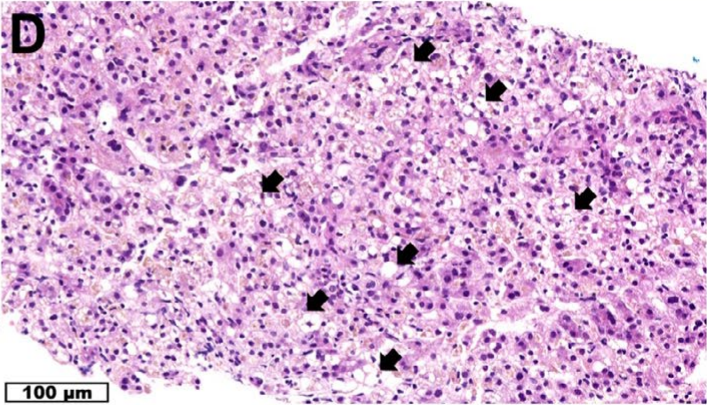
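At higher power the liver cells are swollen with pale, foamy pink cytoplasm, and many contain numerous small clear round vacuoles around centrally kept nuclei. This pattern of many tiny fat droplets is microvesicular steatosis.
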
